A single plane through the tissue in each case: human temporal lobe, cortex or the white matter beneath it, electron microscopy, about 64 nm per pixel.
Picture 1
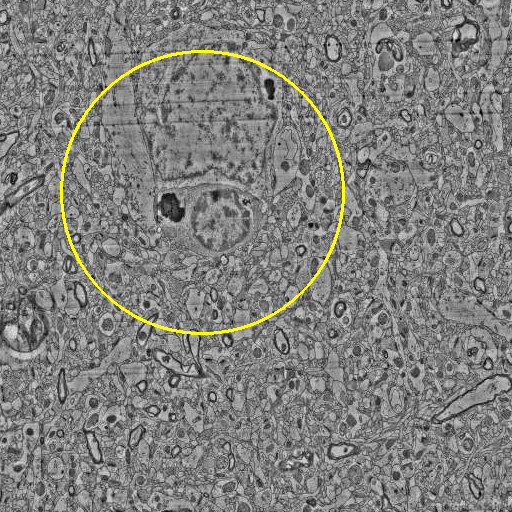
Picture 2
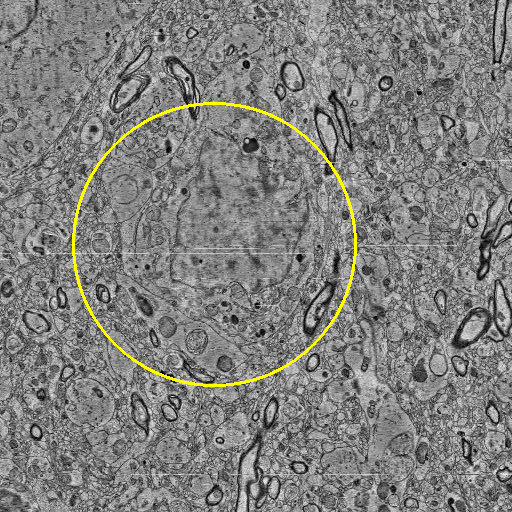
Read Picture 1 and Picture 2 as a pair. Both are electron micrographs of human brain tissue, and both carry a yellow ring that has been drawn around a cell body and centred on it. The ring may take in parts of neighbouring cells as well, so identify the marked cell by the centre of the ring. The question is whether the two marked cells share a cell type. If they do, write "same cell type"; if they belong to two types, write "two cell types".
two cell types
